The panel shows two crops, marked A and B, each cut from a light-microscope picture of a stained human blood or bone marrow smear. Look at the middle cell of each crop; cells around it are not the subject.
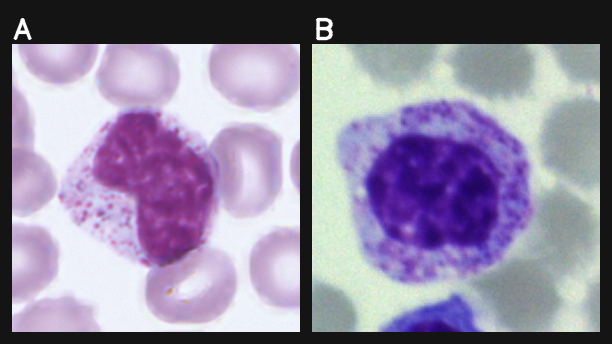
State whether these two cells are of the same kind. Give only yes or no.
no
